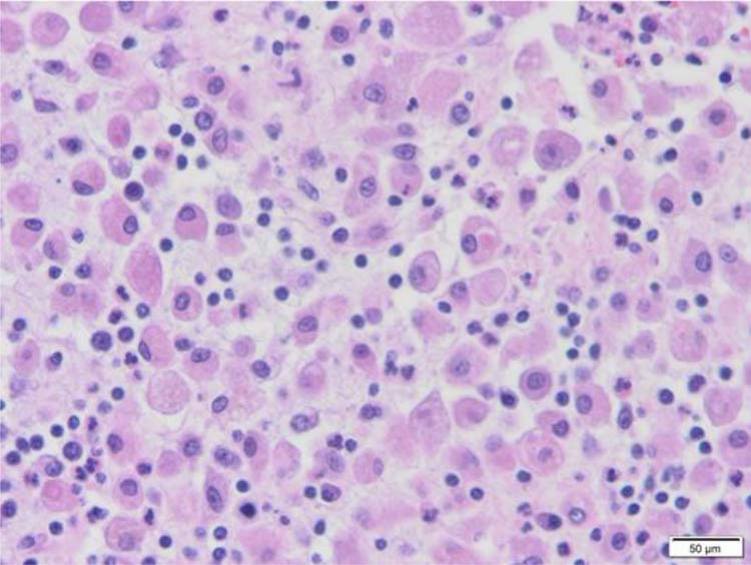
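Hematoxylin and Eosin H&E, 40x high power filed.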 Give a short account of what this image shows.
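Sheets of large cells with abundant, pale pink, finely granular cytoplasm and oval to indented nuclei fill the field, with no normal tissue architecture between them. Small round cells with dense dark nuclei and scant cytoplasm, like lymphocytes, lie scattered among them. The large cells vary in size and some nuclei have small nucleoli. This is a diffuse proliferation of histiocytes with accompanying lymphocytes.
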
